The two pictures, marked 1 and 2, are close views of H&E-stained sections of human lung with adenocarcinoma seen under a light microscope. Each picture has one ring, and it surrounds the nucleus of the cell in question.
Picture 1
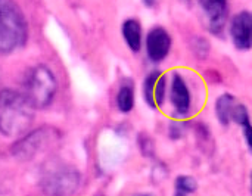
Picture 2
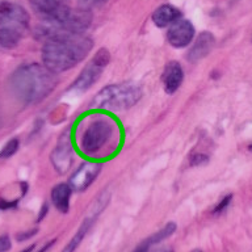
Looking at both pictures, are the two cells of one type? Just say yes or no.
no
